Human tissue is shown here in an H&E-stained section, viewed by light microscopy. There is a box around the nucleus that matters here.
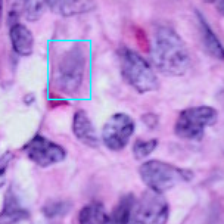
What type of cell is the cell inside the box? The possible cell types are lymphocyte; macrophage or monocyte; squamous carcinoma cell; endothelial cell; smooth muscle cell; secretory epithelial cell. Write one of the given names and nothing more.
endothelial cell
